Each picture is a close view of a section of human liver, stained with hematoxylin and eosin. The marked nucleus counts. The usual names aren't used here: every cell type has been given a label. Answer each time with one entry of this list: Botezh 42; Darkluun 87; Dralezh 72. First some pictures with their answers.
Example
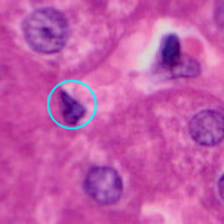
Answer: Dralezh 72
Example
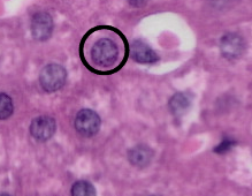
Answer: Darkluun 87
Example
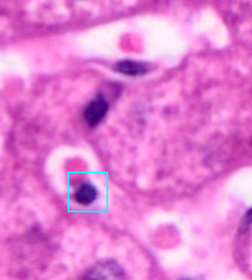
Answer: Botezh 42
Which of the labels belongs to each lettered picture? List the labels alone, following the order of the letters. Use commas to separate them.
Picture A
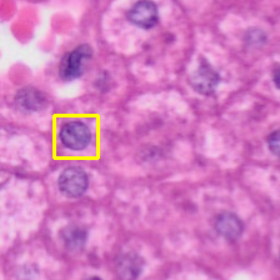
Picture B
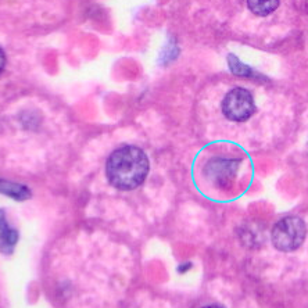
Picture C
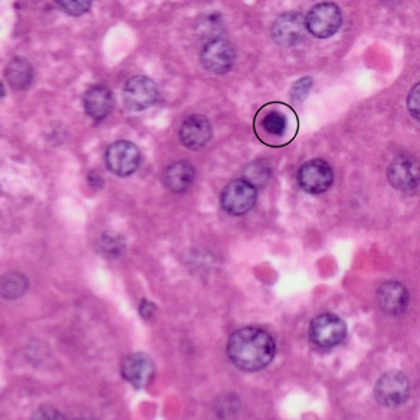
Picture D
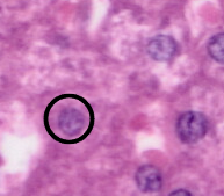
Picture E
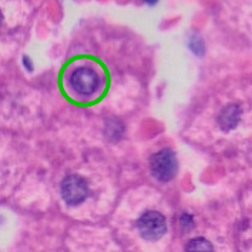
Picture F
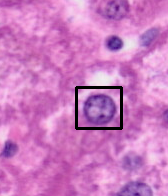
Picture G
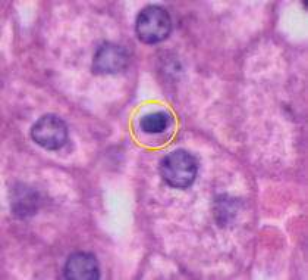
Darkluun 87, Dralezh 72, Botezh 42, Darkluun 87, Darkluun 87, Darkluun 87, Botezh 42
